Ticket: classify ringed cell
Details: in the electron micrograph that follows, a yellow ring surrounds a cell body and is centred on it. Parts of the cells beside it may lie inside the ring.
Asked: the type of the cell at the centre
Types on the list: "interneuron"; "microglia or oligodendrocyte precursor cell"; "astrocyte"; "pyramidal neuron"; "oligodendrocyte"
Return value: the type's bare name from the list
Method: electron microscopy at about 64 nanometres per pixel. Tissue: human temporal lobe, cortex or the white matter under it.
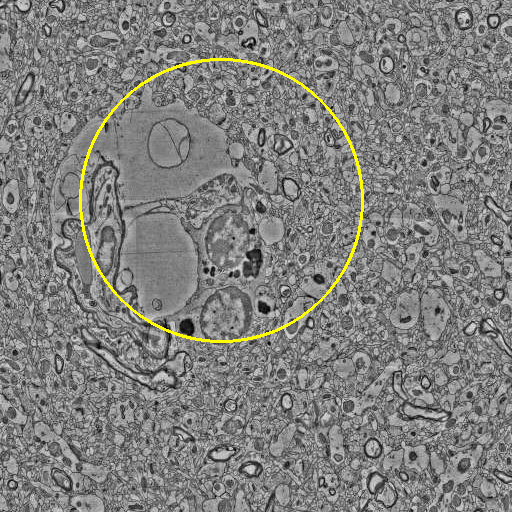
microglia or oligodendrocyte precursor cell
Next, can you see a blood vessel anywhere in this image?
Yes, there is a blood vessel.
